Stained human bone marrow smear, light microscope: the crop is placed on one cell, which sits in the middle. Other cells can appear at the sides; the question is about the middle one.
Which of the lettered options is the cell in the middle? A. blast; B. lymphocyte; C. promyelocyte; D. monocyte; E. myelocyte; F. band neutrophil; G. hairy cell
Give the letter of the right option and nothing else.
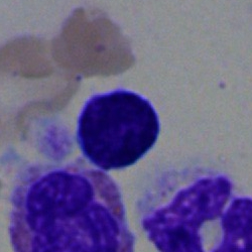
B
